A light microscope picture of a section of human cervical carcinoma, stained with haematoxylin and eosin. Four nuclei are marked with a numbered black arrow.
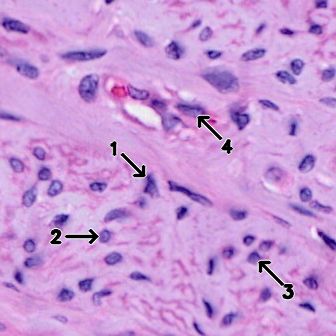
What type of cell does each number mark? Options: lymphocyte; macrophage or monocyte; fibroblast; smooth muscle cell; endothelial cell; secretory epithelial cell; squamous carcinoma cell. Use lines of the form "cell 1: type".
cell 1: fibroblast
cell 2: smooth muscle cell
cell 3: smooth muscle cell
cell 4: endothelial cell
